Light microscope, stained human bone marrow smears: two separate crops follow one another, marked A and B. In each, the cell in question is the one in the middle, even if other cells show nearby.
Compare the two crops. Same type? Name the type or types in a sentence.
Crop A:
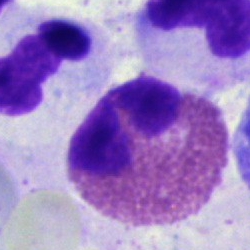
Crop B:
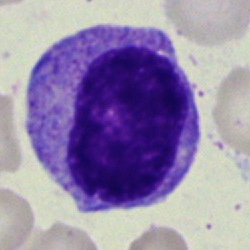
No, crop A features an eosinophil, while crop B features a myelocyte.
